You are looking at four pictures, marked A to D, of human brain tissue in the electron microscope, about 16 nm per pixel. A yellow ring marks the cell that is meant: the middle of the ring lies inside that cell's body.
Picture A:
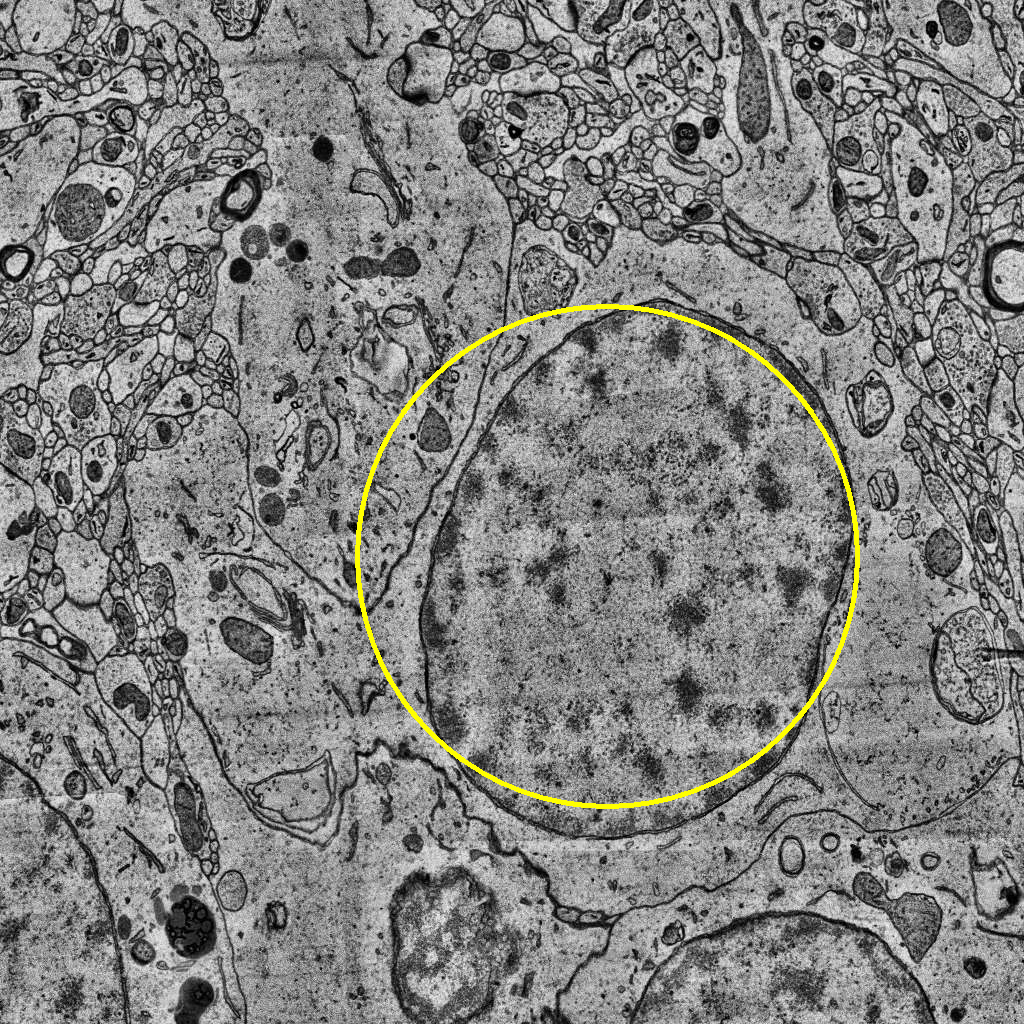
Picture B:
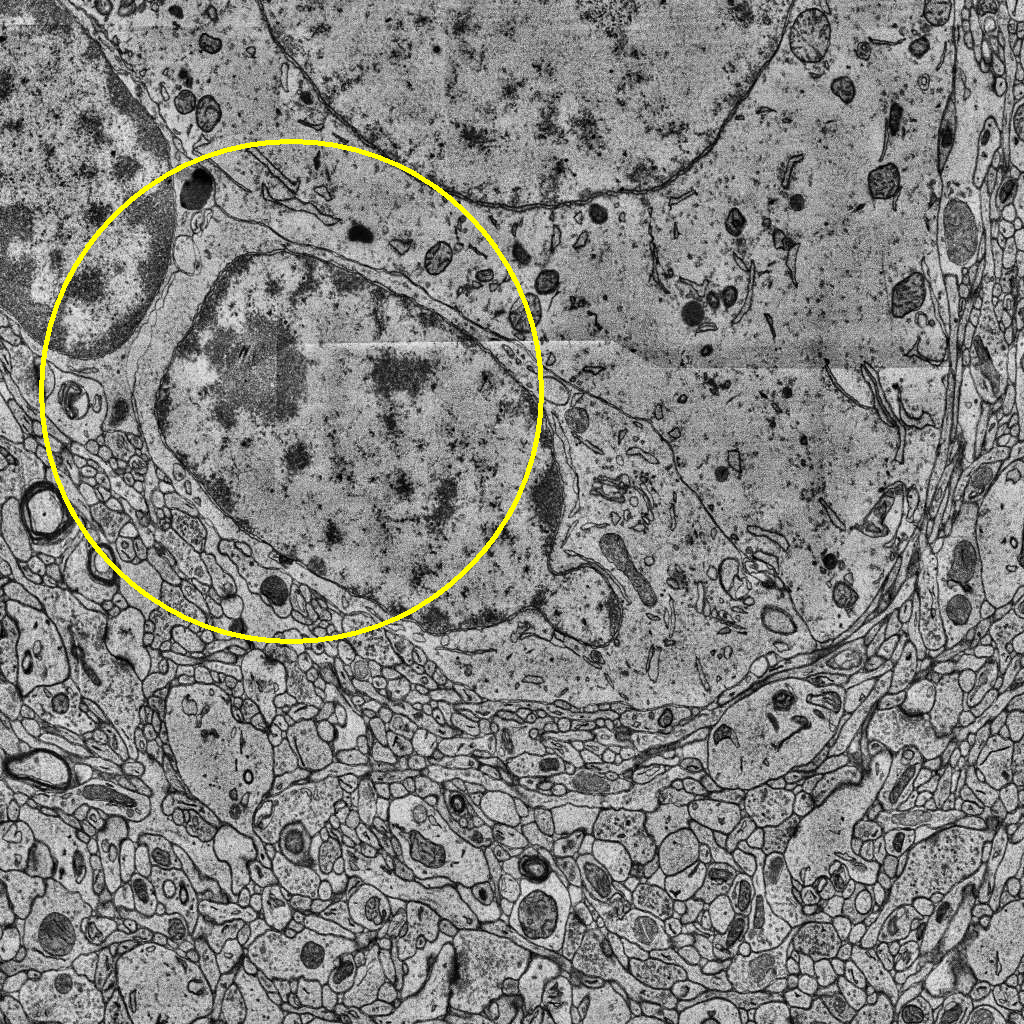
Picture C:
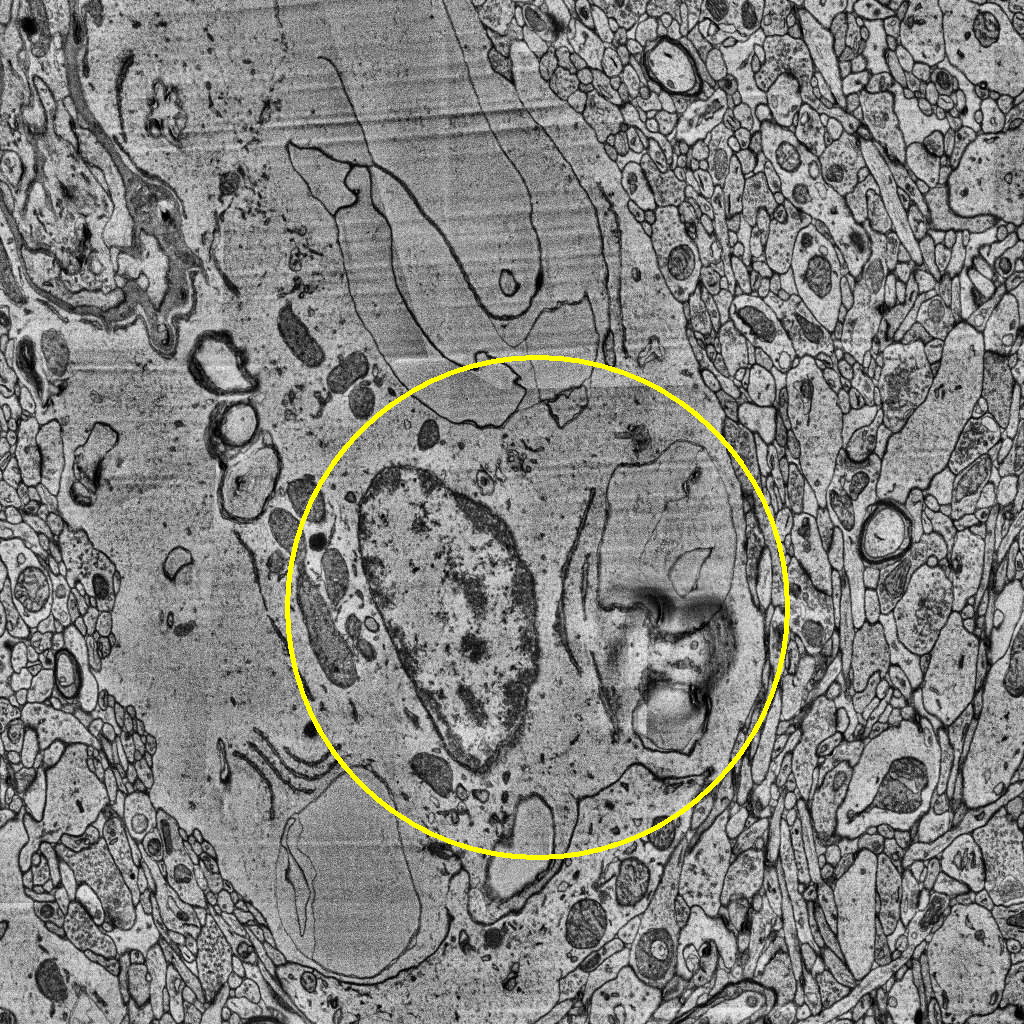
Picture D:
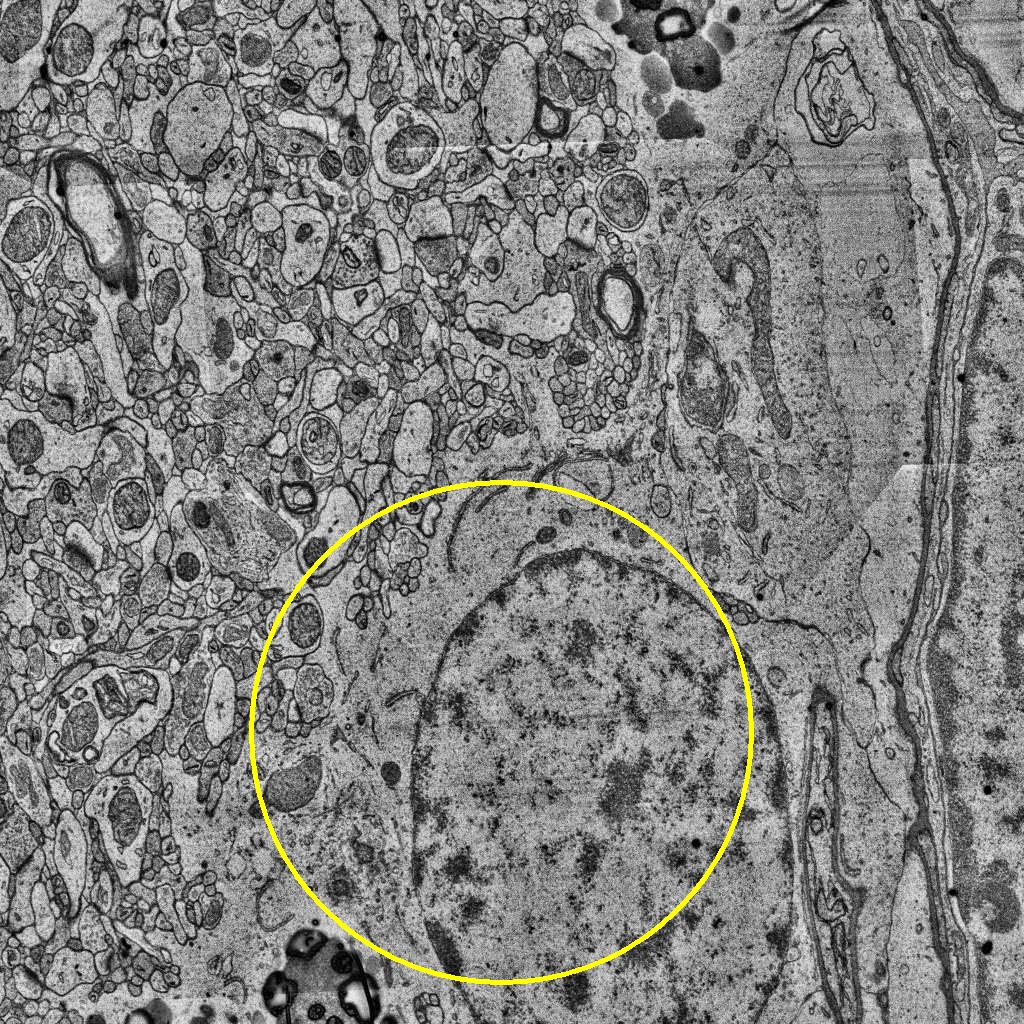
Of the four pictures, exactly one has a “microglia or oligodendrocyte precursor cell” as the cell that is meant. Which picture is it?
The “microglia or oligodendrocyte precursor cell” is the one in picture B.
